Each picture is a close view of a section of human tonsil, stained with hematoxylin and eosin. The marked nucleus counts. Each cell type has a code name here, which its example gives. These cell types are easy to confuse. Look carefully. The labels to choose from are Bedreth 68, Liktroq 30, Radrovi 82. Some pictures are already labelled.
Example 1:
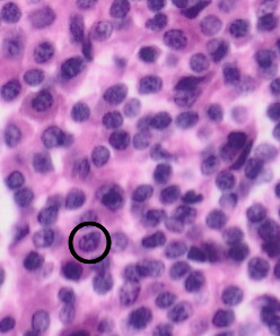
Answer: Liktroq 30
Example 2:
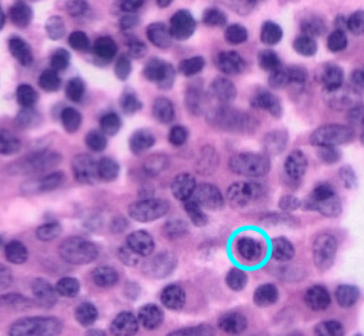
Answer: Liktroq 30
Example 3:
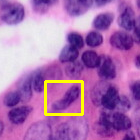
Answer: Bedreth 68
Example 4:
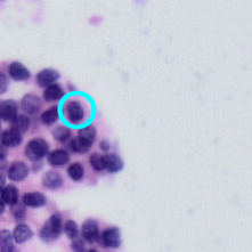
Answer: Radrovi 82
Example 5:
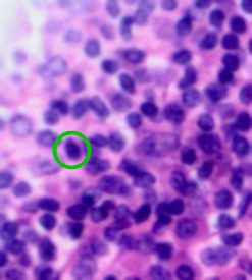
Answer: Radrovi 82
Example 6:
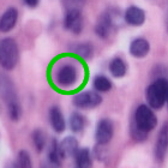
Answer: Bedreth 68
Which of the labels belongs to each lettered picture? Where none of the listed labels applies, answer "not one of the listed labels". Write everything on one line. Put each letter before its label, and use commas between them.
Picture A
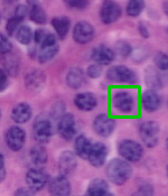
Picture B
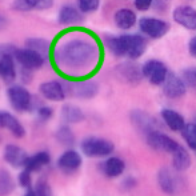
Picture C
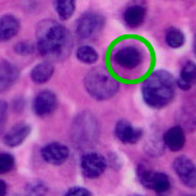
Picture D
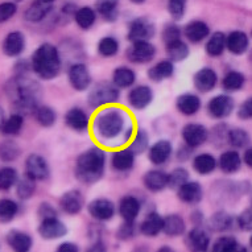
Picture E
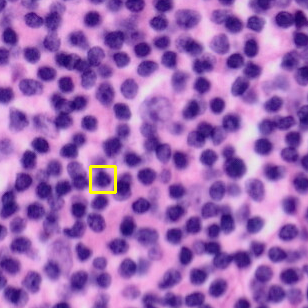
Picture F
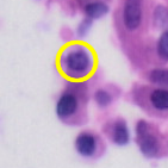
A Liktroq 30, B Bedreth 68, C Liktroq 30, D Radrovi 82, E Radrovi 82, F Liktroq 30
